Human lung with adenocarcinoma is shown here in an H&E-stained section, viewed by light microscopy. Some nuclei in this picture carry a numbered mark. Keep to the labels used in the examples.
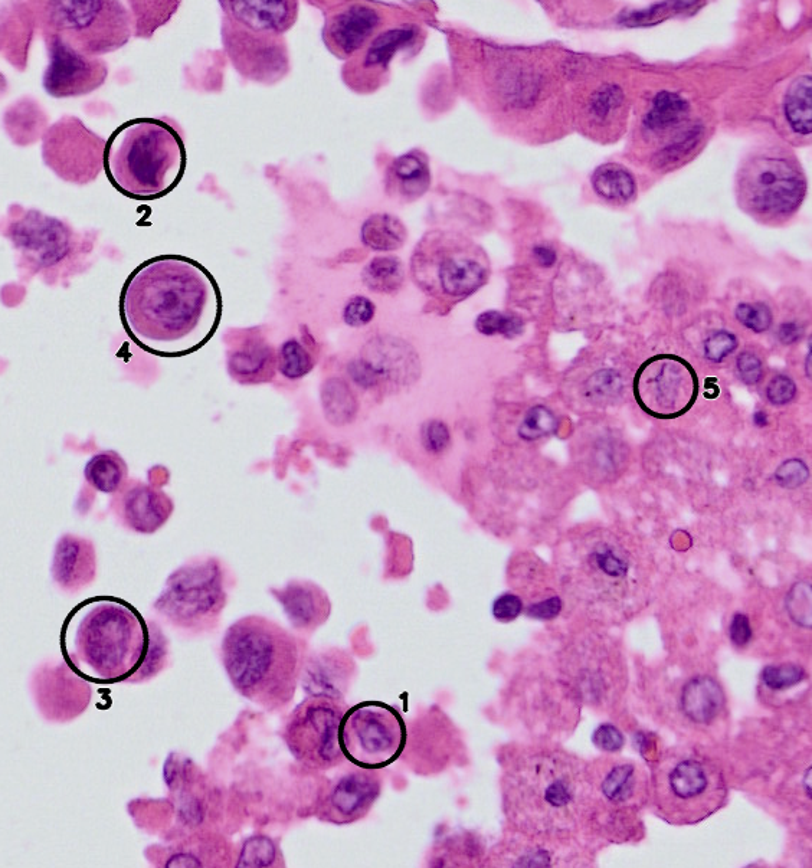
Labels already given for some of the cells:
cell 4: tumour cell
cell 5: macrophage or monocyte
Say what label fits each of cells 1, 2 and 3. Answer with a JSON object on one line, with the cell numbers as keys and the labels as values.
{"1": "macrophage or monocyte", "2": "tumour cell", "3": "tumour cell"}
